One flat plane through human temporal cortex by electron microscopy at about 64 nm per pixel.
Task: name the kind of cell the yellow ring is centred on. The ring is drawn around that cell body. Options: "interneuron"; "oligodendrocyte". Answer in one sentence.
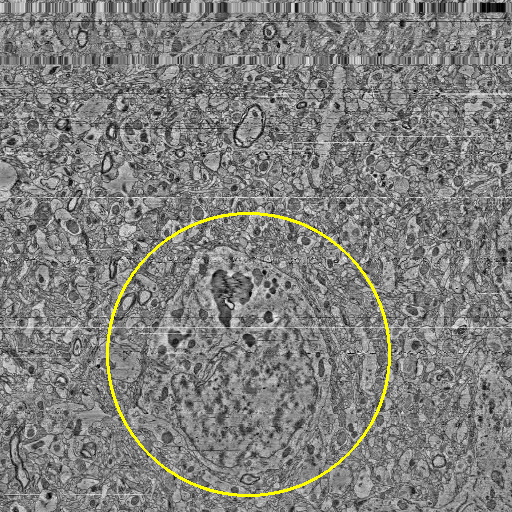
This cell body belongs to an interneuron.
